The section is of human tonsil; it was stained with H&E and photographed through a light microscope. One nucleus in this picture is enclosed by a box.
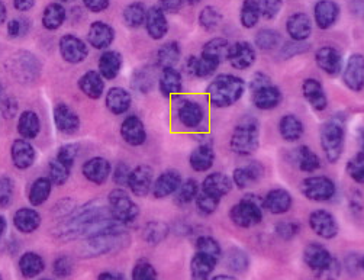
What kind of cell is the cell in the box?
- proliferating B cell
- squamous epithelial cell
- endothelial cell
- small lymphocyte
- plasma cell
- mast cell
plasma cell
